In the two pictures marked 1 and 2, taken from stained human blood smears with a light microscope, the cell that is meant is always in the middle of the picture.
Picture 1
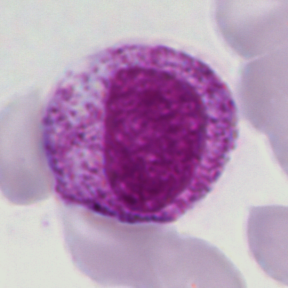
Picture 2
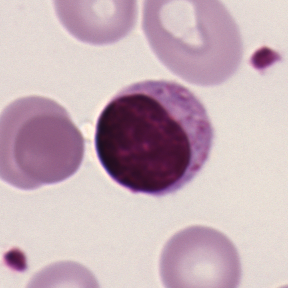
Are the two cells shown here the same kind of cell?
no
